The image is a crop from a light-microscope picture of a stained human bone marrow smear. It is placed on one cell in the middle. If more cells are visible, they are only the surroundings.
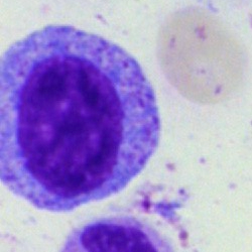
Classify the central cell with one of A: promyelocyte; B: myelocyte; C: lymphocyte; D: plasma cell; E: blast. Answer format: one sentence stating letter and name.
The one cell at the centre is a promyelocyte, as correctly stated in option A.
